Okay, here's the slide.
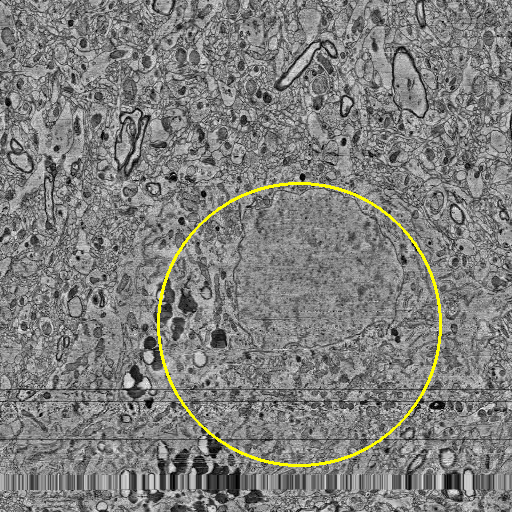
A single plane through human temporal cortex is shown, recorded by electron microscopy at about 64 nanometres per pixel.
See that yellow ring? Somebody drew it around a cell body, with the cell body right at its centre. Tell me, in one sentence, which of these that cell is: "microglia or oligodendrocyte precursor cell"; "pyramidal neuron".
The cell in the middle of the ring is a pyramidal neuron.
